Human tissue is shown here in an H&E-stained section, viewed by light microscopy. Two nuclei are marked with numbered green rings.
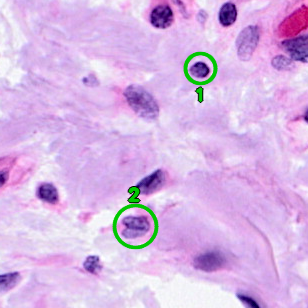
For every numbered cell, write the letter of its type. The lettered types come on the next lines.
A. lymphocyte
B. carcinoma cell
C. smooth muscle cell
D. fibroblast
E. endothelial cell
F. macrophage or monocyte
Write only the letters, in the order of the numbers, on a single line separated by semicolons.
A; F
